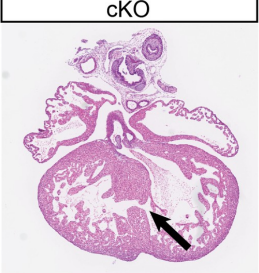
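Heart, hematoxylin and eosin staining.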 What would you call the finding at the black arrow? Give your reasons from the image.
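The arrow points to a gap within the muscular wall that separates the two ventricles. The ventricular cavities connect through this gap.
Hence: ventricular septal defect.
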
